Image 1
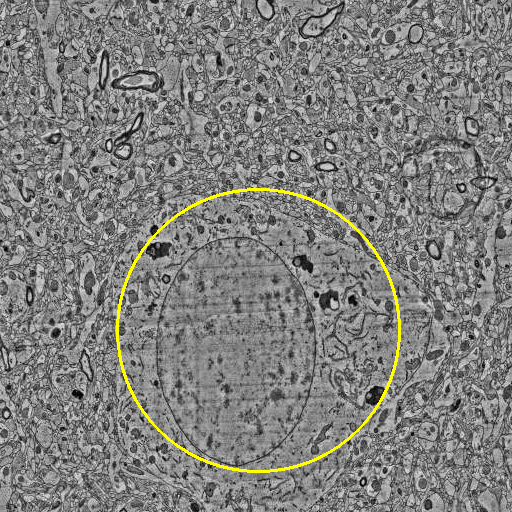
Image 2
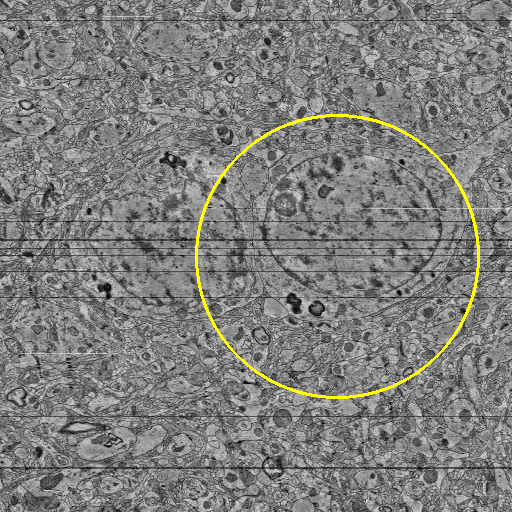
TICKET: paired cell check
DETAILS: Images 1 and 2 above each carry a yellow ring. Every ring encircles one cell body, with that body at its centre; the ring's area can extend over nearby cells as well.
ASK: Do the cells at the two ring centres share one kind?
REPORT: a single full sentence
Yes, the ring-centre cells of Images 1 and 2 belong to a single kind.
